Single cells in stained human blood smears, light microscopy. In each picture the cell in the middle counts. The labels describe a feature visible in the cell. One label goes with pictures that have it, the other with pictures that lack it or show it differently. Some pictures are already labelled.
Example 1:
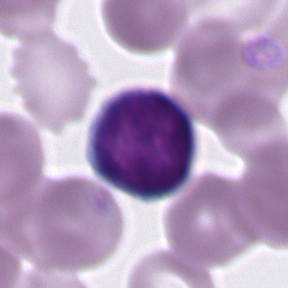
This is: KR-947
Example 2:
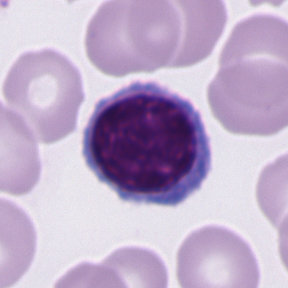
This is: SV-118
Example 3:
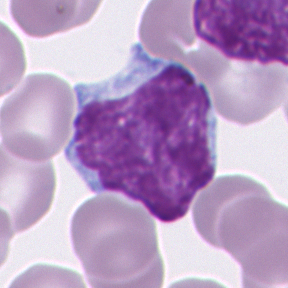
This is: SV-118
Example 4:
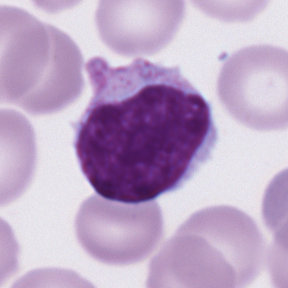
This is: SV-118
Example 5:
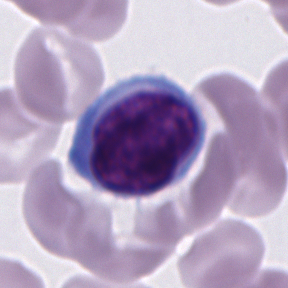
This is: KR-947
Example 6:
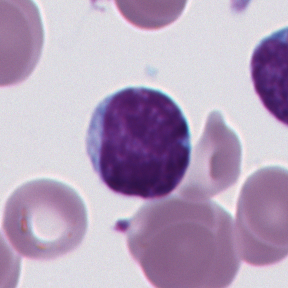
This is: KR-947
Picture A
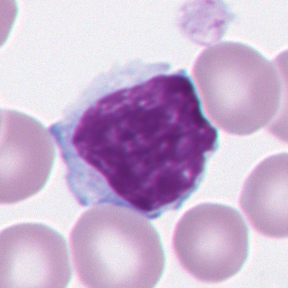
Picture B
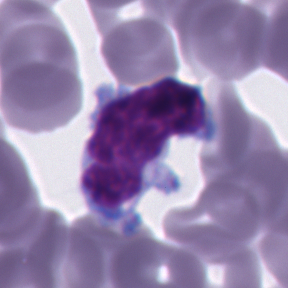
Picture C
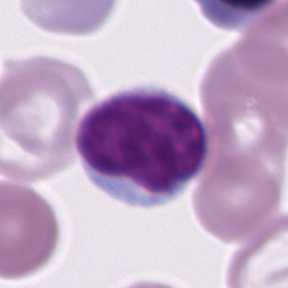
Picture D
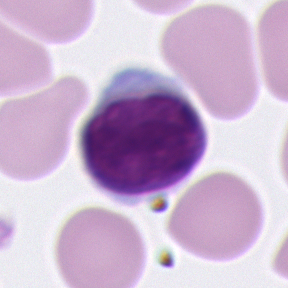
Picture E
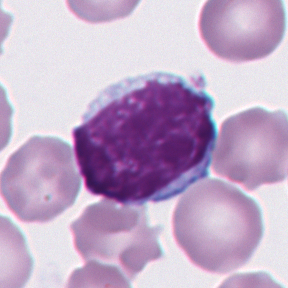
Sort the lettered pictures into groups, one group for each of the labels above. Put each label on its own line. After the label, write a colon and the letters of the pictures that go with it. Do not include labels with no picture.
KR-947: C, D
SV-118: A, B, E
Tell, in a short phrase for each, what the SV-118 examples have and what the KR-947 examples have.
SV-118, ragged outline or projections; KR-947, smooth outline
